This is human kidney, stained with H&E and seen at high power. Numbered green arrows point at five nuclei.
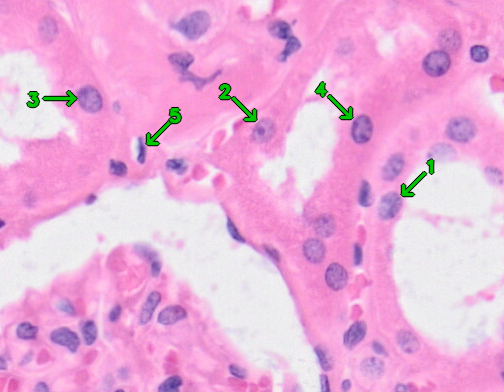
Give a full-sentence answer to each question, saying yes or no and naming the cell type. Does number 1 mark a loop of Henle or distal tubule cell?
Yes, so the cell at label 1 is a loop of Henle or distal tubule cell.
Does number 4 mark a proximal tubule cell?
Yes, correct, the cell with the number 4 is a proximal tubule cell.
